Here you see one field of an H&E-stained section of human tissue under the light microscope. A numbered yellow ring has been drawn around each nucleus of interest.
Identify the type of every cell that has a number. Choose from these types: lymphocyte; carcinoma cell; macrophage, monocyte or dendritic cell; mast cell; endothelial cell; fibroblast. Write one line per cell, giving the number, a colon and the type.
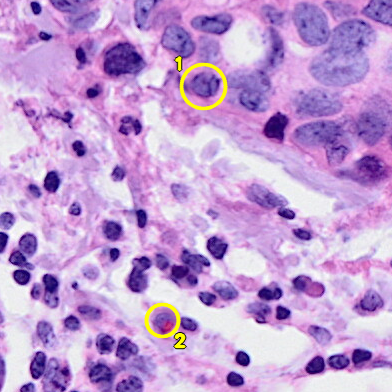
1: carcinoma cell
2: endothelial cell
